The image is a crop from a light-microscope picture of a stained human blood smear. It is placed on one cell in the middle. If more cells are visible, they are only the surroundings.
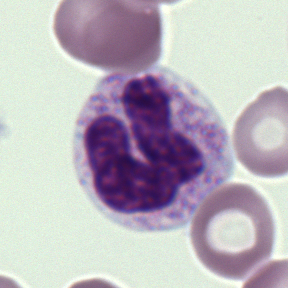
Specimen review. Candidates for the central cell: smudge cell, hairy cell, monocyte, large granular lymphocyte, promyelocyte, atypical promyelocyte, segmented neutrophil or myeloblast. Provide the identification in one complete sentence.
Of the cells in this crop, the central one is a segmented neutrophil.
